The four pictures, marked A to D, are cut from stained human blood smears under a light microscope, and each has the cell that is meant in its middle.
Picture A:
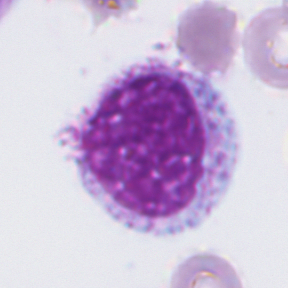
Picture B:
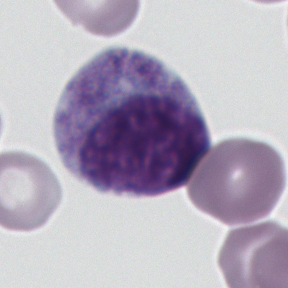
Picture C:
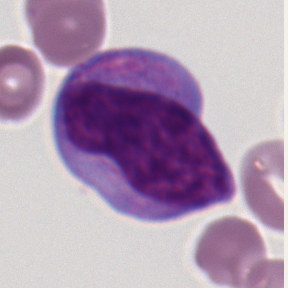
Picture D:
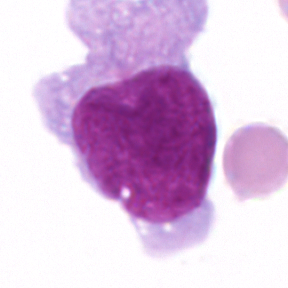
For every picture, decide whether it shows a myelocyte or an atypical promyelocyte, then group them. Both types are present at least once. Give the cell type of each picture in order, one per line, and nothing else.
myelocyte
myelocyte
atypical promyelocyte
atypical promyelocyte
